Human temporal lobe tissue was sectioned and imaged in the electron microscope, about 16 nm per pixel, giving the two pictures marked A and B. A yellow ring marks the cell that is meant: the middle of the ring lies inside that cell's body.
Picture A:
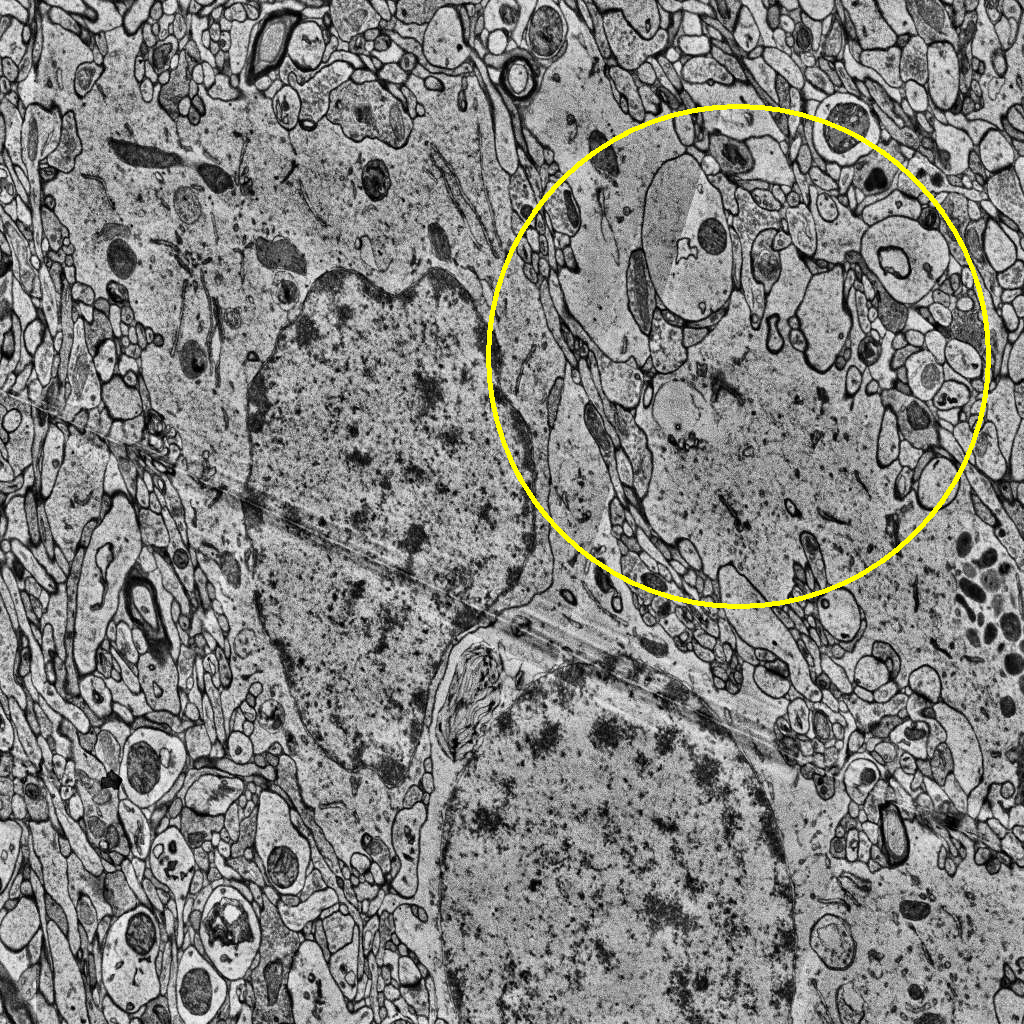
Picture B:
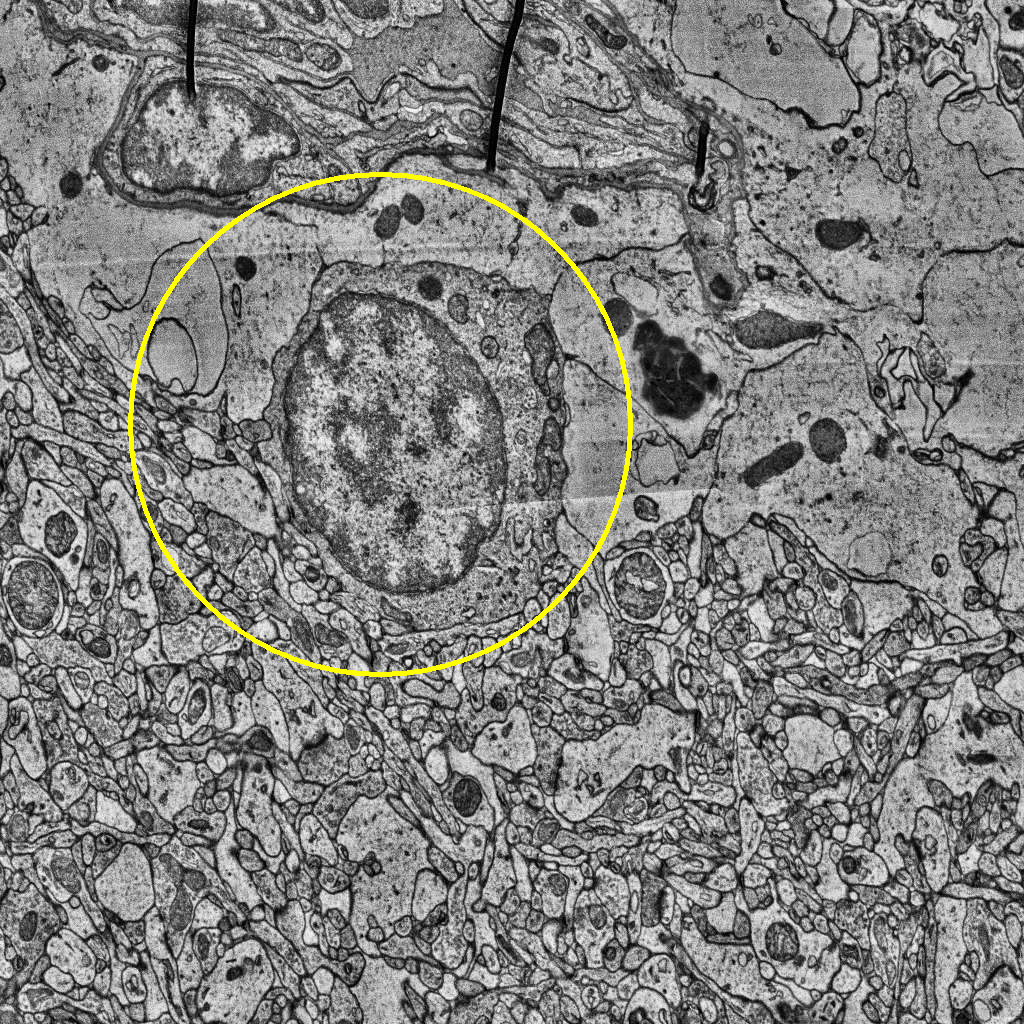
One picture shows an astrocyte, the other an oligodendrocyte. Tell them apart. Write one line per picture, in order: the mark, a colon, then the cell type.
A: astrocyte
B: oligodendrocyte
